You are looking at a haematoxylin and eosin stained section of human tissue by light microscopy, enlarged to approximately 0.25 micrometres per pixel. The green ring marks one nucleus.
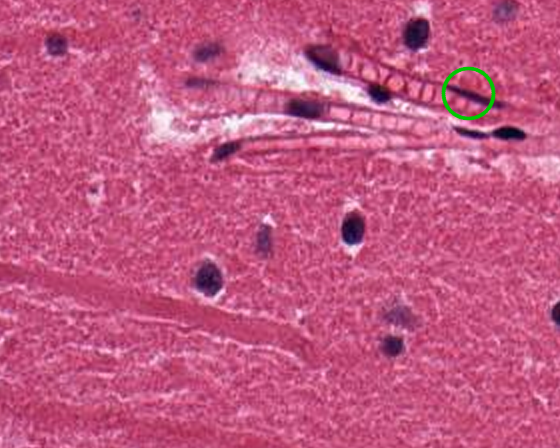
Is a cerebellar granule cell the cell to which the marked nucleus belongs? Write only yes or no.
no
